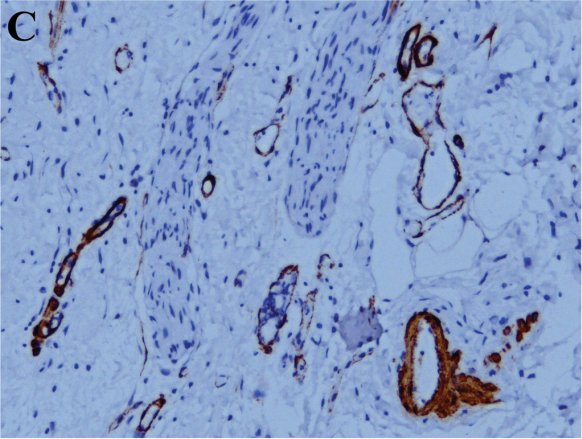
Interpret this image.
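The background is a pale, loose, partly edematous fibrous stroma with scattered elongated spindle nuclei. Vessels of various sizes are cut across or lengthwise; their lumens are surrounded by brown rings of varying thickness, from thin single layers around small vessels to a thick, muscular wall around a larger one at the lower right. Some elongated vessels appear as brown tracks. The surrounding stromal cells away from the vessels stain only weakly or not at all.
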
